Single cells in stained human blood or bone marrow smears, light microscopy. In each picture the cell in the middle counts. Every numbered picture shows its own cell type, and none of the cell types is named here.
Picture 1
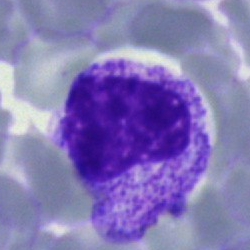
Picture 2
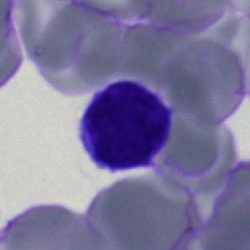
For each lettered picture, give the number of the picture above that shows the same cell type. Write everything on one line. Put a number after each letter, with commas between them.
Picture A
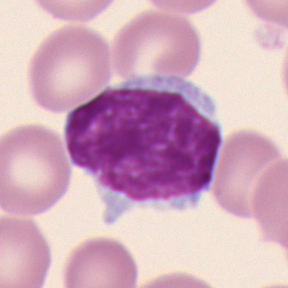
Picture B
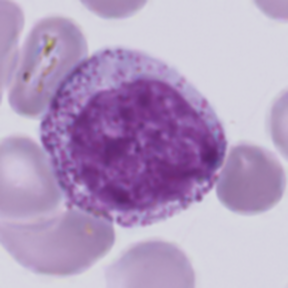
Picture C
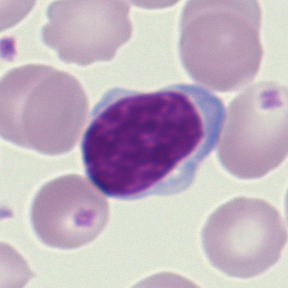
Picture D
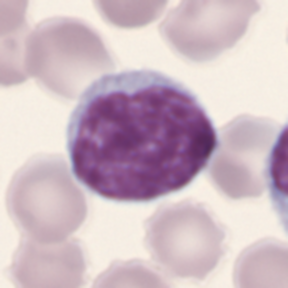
A 2, B 1, C 2, D 2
